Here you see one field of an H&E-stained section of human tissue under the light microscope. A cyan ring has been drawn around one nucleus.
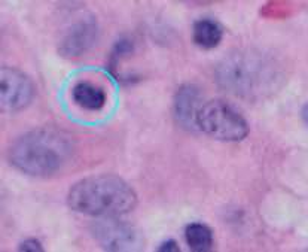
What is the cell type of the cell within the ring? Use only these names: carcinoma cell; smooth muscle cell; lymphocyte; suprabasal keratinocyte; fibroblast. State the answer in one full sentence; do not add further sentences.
In the context of this tissue, the cell within the ring is a lymphocyte.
